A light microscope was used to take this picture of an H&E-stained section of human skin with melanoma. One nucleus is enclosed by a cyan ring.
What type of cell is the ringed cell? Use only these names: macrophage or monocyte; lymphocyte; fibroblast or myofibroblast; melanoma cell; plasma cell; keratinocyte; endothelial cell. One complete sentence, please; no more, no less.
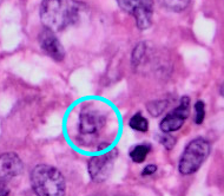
For cell typing purposes, the ringed cell is a melanoma cell.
